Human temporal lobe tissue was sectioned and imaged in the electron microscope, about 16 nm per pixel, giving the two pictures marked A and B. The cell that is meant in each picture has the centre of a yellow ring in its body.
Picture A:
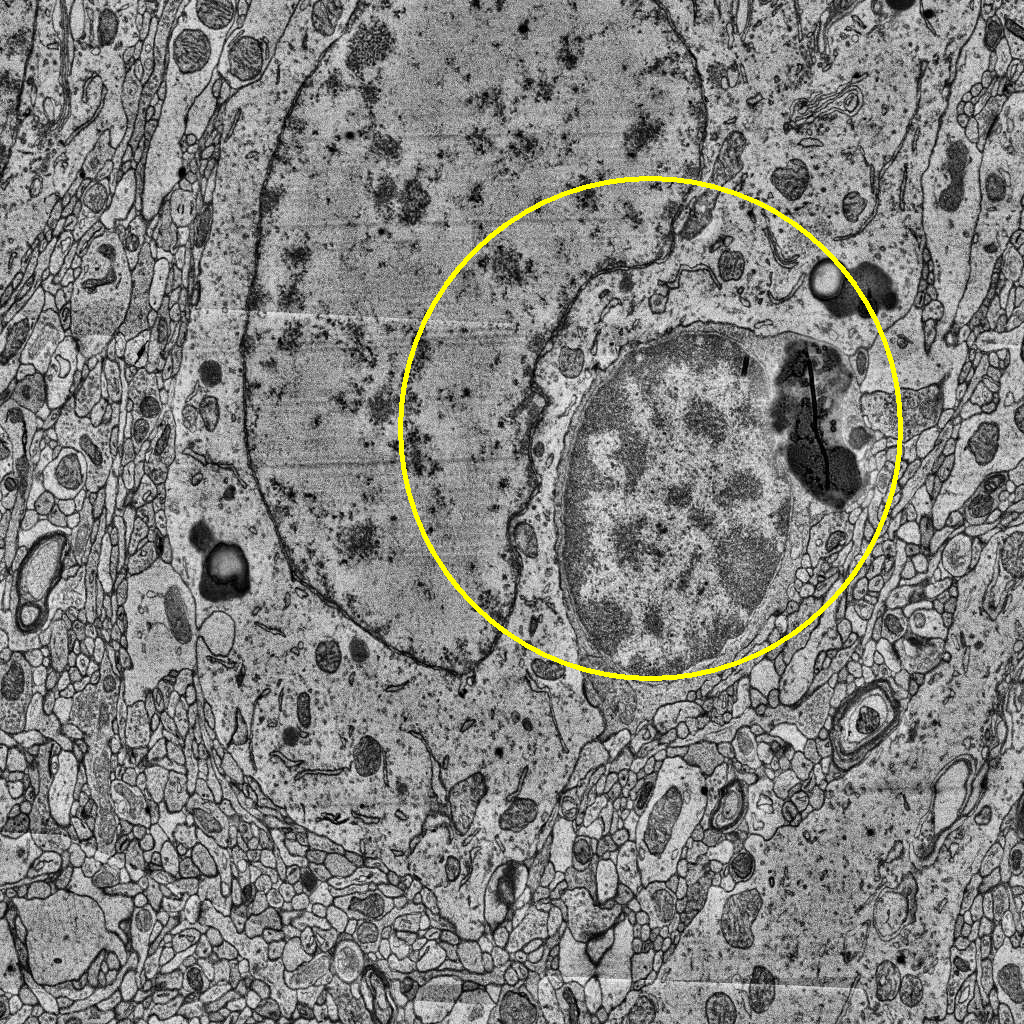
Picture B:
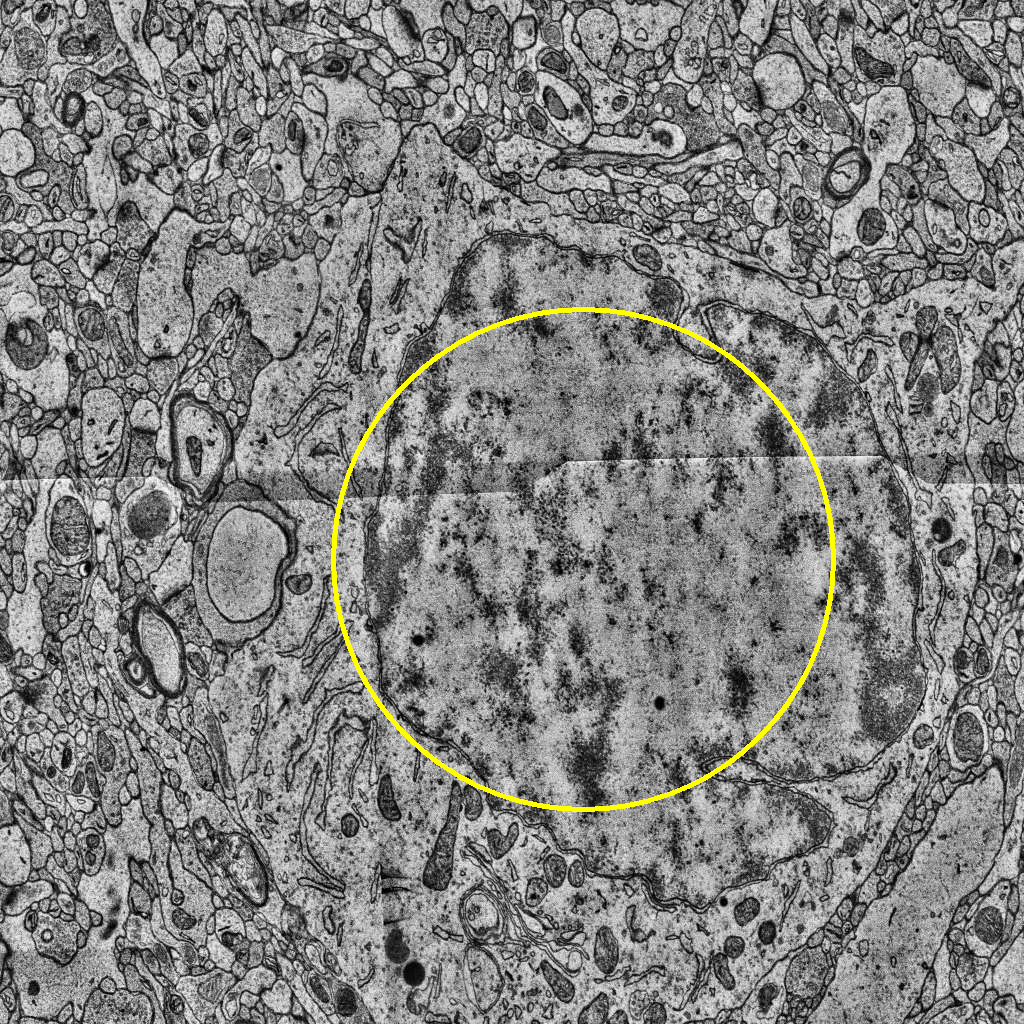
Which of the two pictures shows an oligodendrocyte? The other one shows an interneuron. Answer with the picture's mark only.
A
